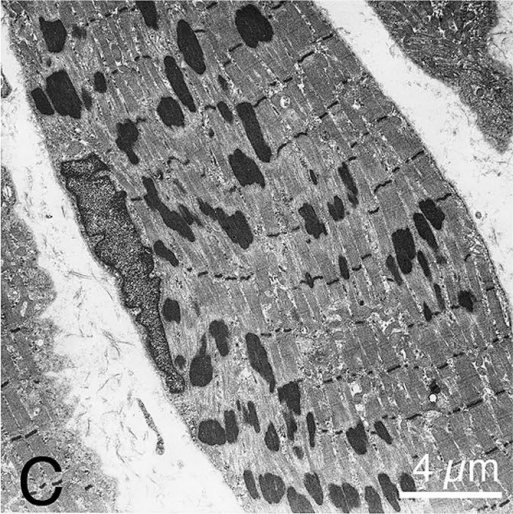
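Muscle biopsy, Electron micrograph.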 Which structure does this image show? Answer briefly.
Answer: Nemaline rods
